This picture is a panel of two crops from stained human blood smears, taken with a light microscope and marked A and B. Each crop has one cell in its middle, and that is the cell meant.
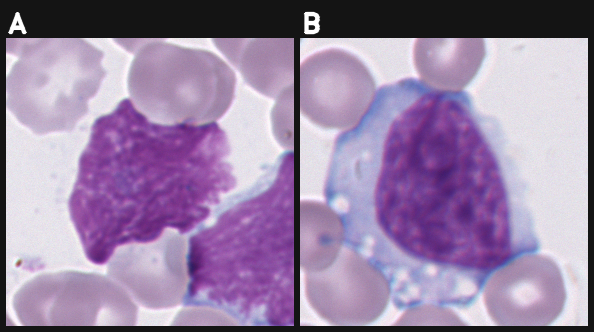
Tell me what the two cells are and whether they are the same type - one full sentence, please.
No, in crop A the cell is a smudge cell, and in crop B it is a myeloblast.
